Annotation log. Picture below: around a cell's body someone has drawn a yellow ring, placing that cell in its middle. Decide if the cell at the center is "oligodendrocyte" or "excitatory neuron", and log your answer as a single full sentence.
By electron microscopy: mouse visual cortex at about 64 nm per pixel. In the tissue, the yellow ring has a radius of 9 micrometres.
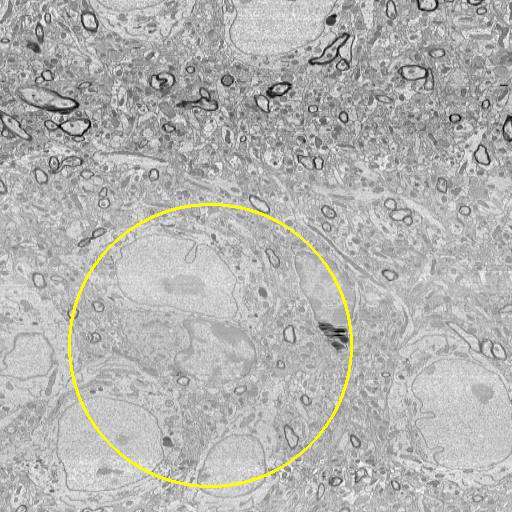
My entry records an oligodendrocyte as the cell sitting at the center of the yellow ring.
